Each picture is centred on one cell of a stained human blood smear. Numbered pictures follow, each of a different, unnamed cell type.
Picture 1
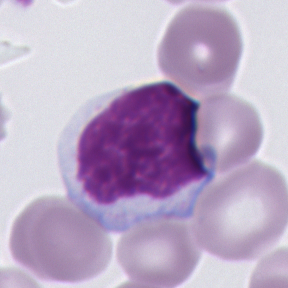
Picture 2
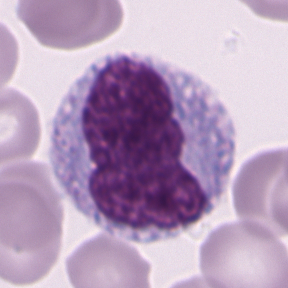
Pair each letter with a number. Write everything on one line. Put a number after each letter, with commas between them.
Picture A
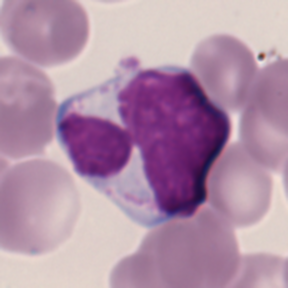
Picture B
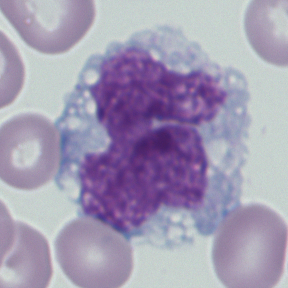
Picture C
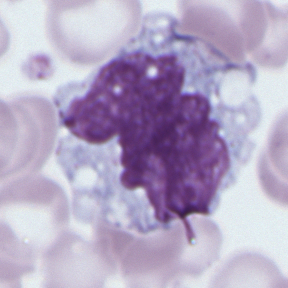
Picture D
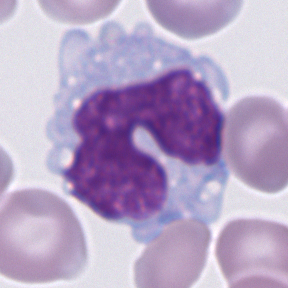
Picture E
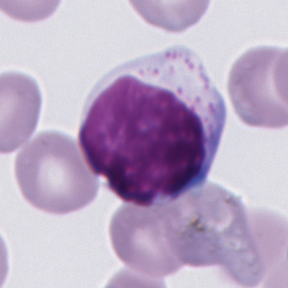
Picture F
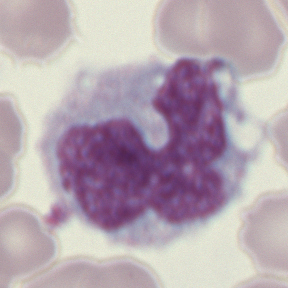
A 1, B 2, C 2, D 2, E 1, F 2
